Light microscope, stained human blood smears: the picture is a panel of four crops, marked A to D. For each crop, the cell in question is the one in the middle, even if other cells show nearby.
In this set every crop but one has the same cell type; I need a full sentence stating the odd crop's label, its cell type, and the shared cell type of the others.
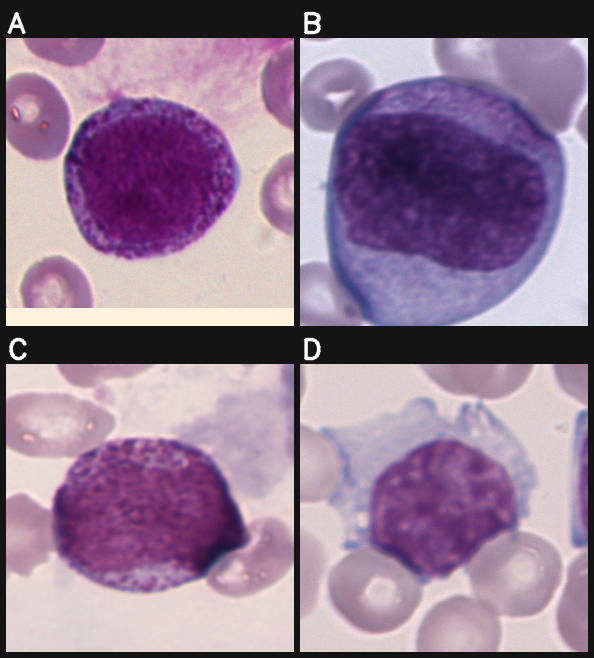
All of the other crops show promyelocytes; crop D, by contrast, is a blast.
